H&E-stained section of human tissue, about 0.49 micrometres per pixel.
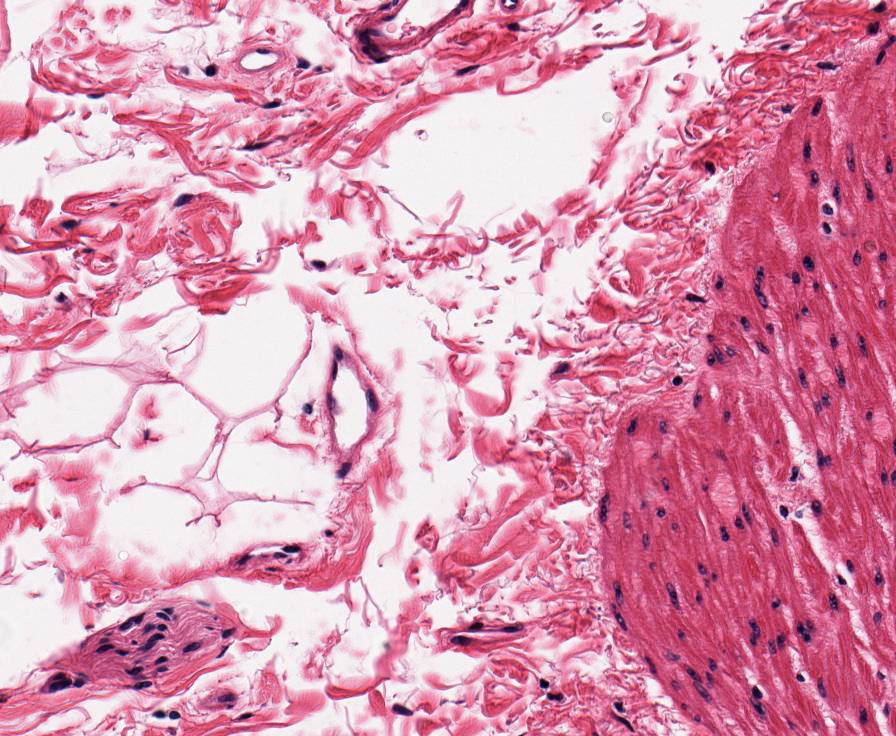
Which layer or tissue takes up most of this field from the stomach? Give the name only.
loose connective tissue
